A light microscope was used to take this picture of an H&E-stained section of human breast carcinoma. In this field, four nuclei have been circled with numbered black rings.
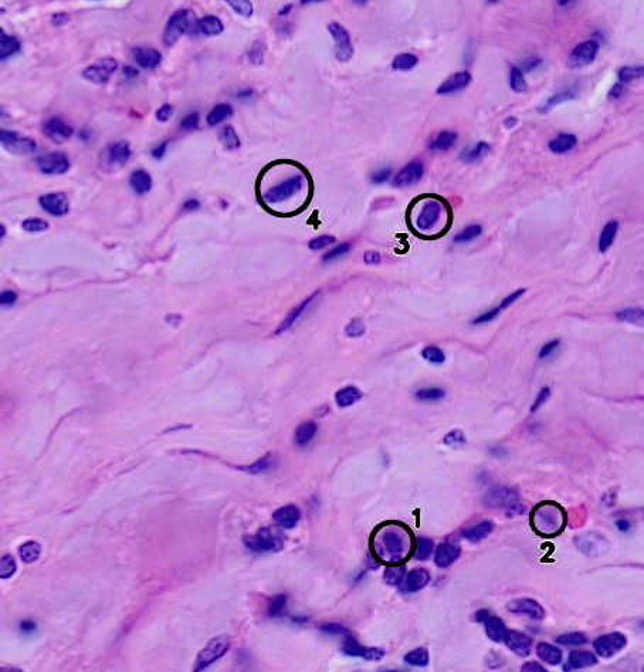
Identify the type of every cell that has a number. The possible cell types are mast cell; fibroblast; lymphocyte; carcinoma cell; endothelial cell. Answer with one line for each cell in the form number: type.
1: lymphocyte
2: endothelial cell
3: lymphocyte
4: lymphocyte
